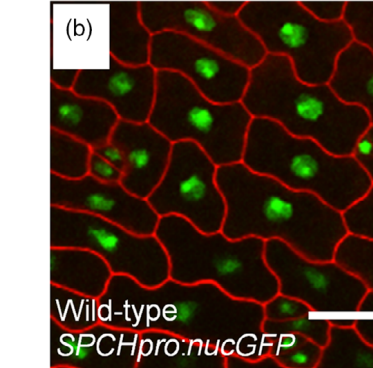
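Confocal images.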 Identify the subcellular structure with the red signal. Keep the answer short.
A: Epidermal cell periphery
